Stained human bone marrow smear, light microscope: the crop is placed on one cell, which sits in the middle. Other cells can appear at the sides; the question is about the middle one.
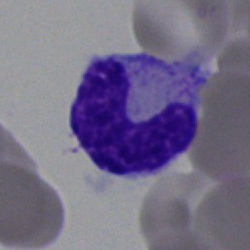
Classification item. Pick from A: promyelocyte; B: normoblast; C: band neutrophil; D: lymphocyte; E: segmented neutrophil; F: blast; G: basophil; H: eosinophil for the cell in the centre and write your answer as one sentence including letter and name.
The middle cell of the crop is a band neutrophil; accordingly, option C is correct.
